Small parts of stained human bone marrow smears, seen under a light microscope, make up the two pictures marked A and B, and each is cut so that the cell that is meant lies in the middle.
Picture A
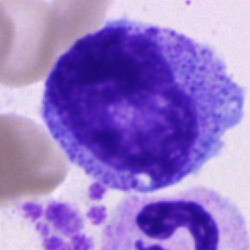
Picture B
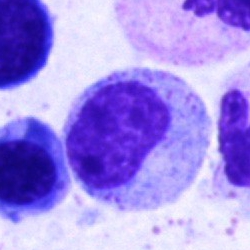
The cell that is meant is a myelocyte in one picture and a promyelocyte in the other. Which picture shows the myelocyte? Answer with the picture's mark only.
B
